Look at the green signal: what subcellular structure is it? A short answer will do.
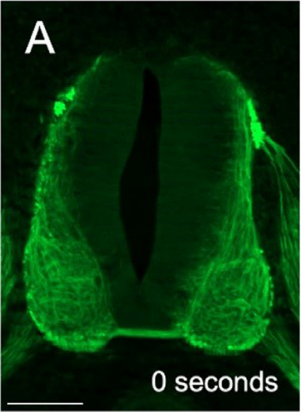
Axons.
